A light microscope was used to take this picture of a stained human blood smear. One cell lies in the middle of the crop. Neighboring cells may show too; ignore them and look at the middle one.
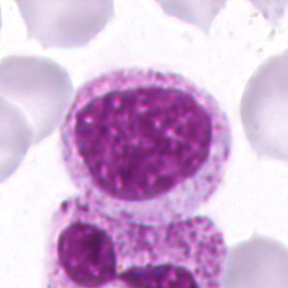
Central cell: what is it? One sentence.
Here the centrally located cell is a myelocyte.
